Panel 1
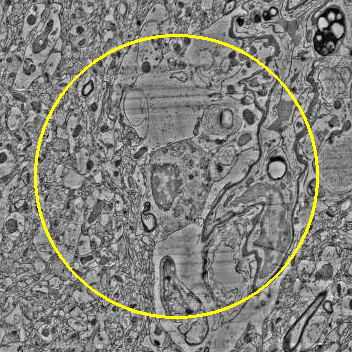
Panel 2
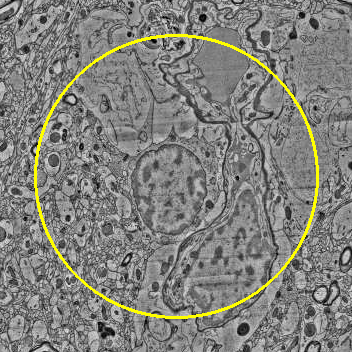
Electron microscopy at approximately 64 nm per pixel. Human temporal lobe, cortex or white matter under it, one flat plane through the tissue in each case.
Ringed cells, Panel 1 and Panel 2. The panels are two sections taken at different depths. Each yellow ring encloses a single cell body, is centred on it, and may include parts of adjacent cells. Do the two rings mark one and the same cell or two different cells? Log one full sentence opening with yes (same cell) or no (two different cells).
Yes, a single cell is marked twice, once by each yellow ring.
